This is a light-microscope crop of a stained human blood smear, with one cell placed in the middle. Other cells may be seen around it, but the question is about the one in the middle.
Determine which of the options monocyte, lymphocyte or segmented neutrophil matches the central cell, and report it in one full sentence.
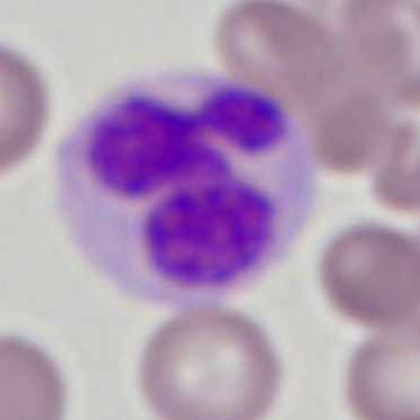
What sits at the centre of this crop is a monocyte.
